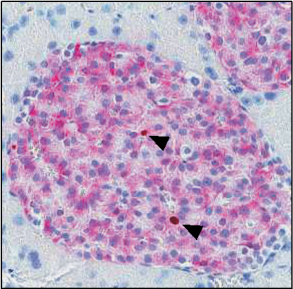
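Pancreatic islet of densely packed endocrine cells with pink-red cytoplasm, forming a large rounded cluster. Nuclei are small, round and blue-grey, evenly spaced through the islet. A few nuclei within the islet are dark brown, two of them marked by arrowheads. Surrounding the islet is exocrine tissue with paler cytoplasm and blue nuclei. Part of a second red-stained islet lies at the upper right corner.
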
